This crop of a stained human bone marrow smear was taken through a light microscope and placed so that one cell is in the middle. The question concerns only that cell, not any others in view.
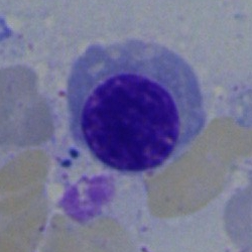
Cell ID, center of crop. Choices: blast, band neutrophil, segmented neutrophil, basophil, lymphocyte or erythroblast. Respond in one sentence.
The target cell in the middle of the crop is an erythroblast.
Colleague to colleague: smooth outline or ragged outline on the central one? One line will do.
Around its whole circumference the outline stays smooth, free of projections.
